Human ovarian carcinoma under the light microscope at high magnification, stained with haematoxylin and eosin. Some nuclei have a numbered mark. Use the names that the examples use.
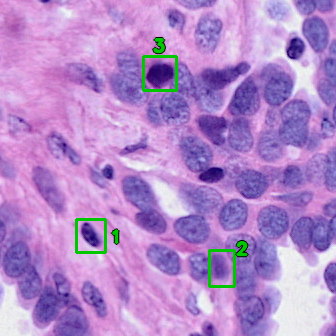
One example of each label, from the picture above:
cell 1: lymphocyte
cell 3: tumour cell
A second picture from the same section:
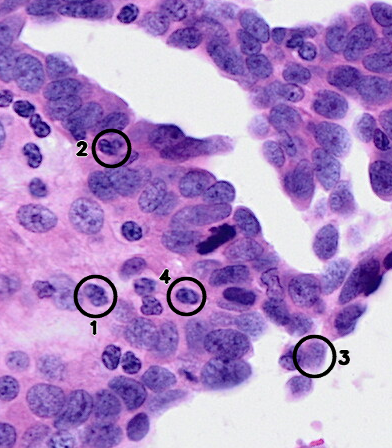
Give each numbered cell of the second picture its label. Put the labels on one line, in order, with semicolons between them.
lymphocyte; lymphocyte; tumour cell; lymphocyte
